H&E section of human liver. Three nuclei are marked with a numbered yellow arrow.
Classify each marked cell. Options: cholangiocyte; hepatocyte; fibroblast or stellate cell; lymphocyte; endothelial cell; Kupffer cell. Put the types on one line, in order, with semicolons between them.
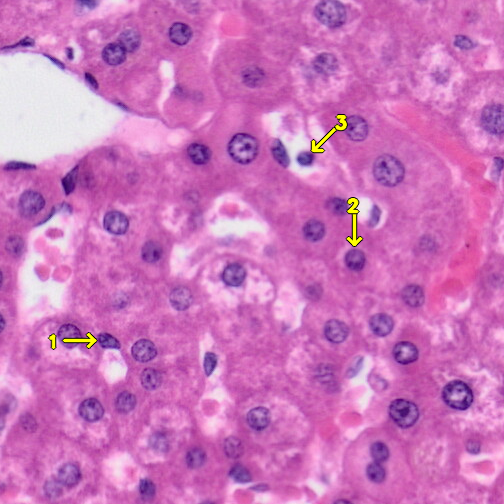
fibroblast or stellate cell; hepatocyte; lymphocyte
